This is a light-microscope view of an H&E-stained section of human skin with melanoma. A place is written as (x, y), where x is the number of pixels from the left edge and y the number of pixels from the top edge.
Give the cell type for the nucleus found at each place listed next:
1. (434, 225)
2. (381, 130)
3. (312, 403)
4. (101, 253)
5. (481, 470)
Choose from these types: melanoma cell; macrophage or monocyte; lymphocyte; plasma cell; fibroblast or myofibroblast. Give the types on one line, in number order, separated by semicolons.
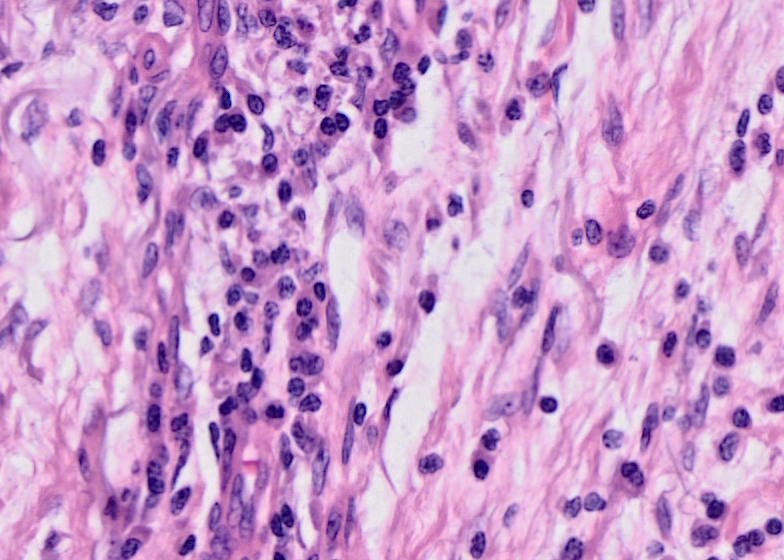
plasma cell; plasma cell; lymphocyte; fibroblast or myofibroblast; plasma cell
